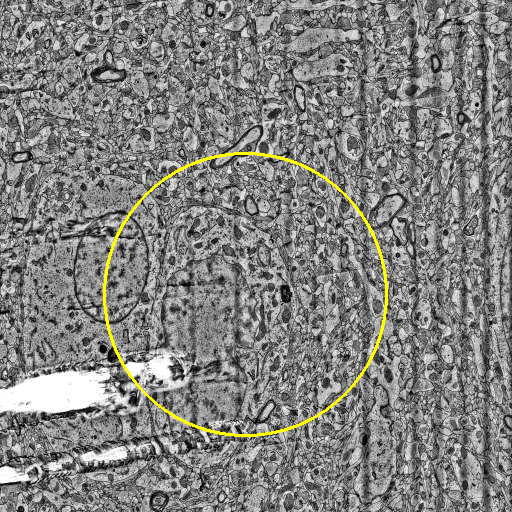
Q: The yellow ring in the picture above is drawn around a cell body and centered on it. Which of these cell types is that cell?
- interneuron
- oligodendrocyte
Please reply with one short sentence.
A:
The cell body at the ring's center belongs to an interneuron.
